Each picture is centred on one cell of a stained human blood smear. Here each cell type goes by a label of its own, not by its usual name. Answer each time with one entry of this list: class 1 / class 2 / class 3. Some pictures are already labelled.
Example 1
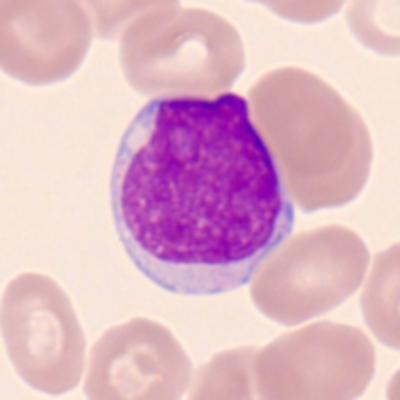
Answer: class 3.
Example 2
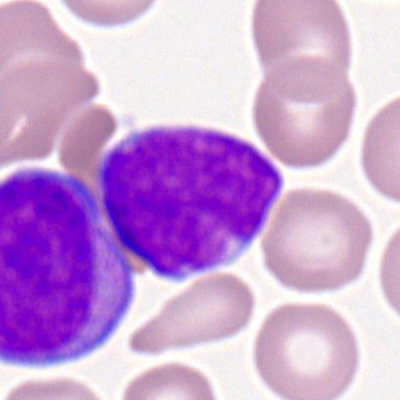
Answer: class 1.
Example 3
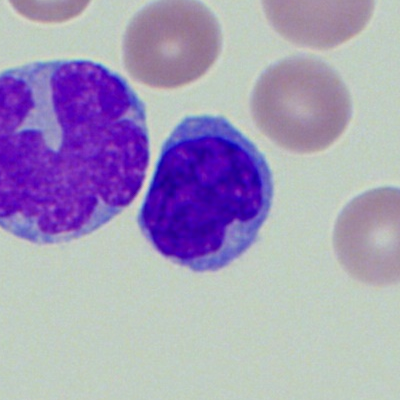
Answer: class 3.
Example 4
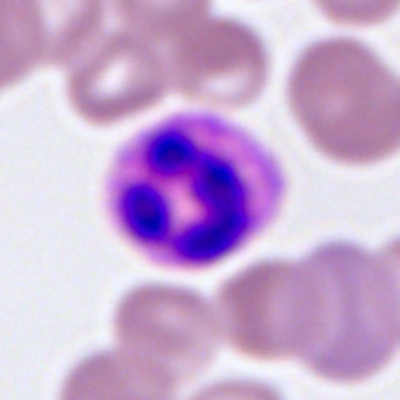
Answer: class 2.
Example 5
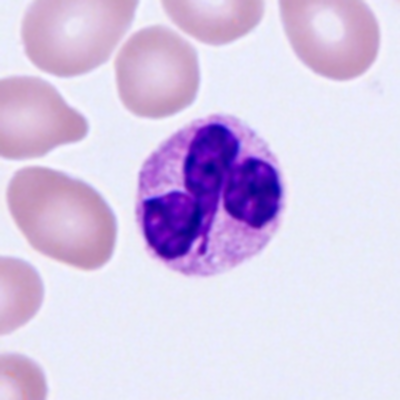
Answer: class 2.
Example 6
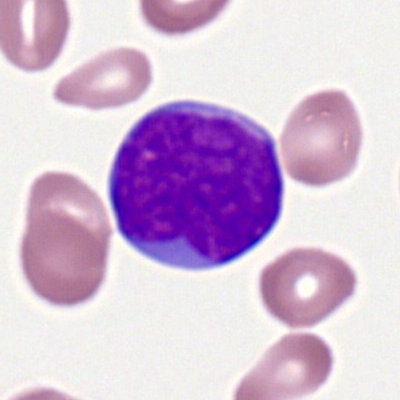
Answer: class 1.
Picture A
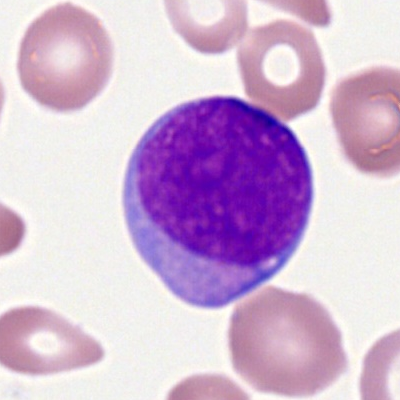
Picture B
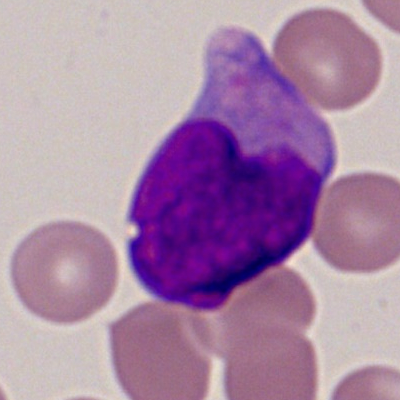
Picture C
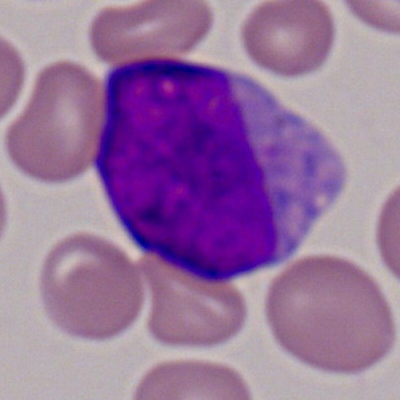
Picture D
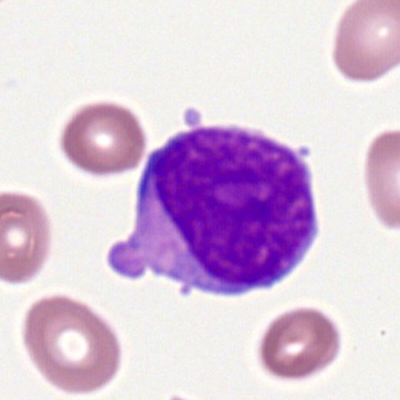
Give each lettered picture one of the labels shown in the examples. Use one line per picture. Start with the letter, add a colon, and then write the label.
A: class 1.
B: class 1.
C: class 1.
D: class 1.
